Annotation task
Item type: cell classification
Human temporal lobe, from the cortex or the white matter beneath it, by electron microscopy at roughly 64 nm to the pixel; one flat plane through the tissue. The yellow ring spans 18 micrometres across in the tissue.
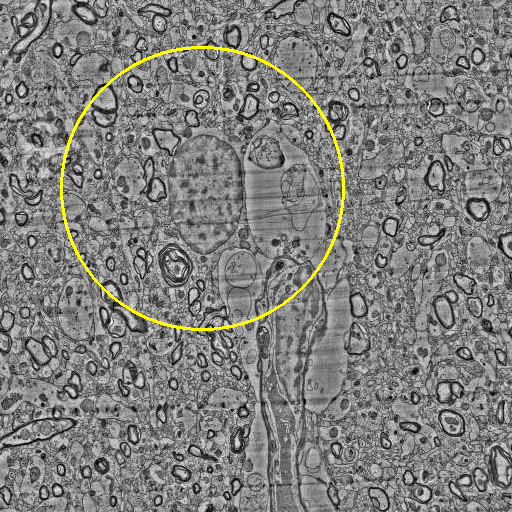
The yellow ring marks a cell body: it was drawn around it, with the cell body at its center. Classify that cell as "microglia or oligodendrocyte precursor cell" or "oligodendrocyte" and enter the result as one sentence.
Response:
The ring's center falls on an oligodendrocyte.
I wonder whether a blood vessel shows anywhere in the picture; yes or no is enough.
Yes, a blood vessel shows in the picture.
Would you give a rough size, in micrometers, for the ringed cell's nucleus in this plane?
In this plane the nucleus measures roughly 8 by 5 micrometres.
